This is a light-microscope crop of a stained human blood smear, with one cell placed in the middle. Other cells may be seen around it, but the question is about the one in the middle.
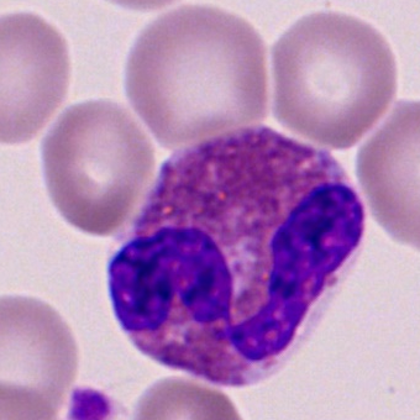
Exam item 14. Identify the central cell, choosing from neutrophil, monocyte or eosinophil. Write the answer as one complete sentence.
The centered cell in this crop is an eosinophil.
